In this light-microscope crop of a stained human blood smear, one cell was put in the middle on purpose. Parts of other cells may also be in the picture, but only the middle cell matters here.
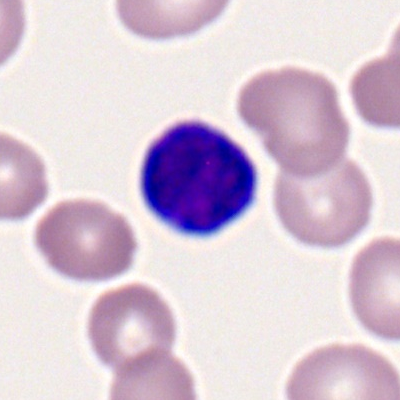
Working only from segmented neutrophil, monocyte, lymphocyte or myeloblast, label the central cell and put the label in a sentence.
The centrally positioned cell in the crop represents a lymphocyte.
